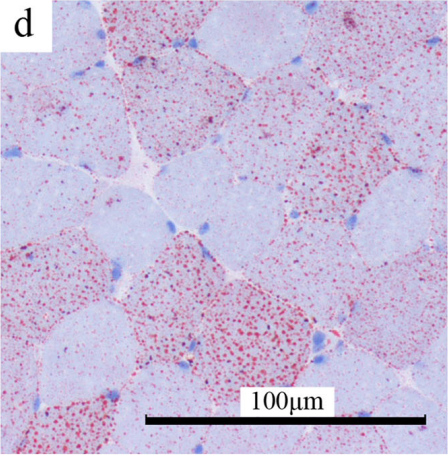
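The heavily loaded fibres form a mosaic among the paler ones. Small blue nuclei lie at the edges of fibres and in the narrow spaces between them. The fibres are polygonal and closely packed, separated by thin pale lines of connective tissue.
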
